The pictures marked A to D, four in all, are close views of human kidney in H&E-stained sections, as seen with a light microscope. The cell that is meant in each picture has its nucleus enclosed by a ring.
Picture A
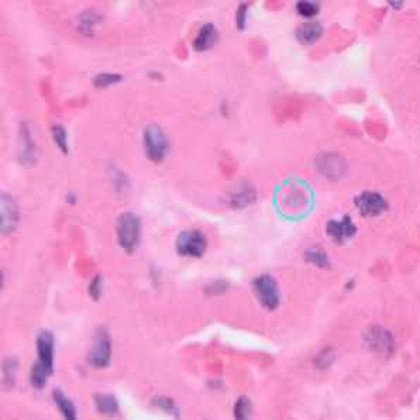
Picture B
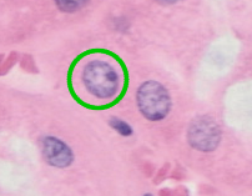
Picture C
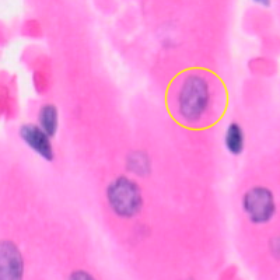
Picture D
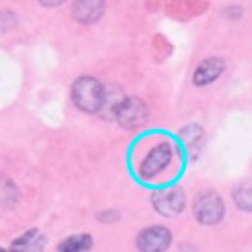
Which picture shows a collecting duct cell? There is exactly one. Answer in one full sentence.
The cell in picture D is the collecting duct cell.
